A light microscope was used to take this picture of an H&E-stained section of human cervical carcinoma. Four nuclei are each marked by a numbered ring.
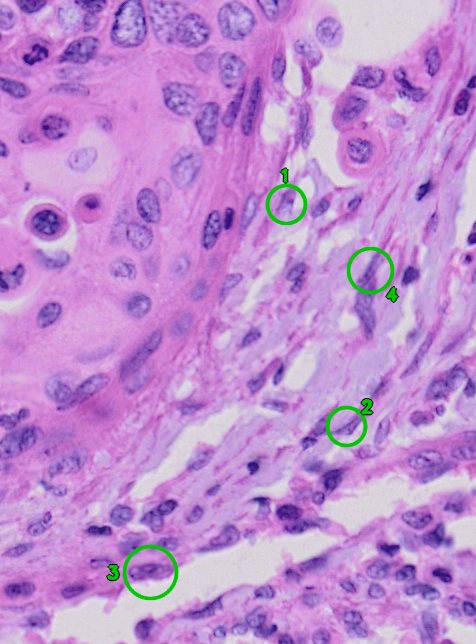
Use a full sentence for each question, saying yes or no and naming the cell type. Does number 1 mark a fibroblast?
Yes, the cell shown as number 1 is a fibroblast.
